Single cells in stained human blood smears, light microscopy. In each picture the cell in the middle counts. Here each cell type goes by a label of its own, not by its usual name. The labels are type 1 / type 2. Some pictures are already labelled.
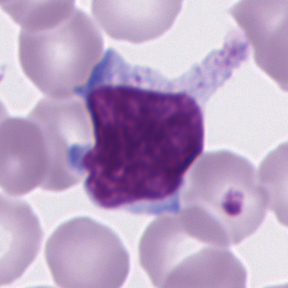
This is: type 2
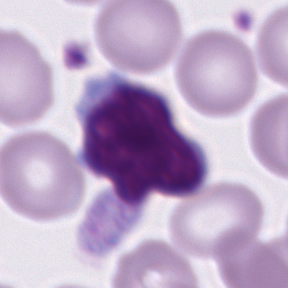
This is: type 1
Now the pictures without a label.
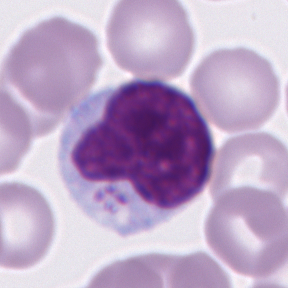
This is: type 2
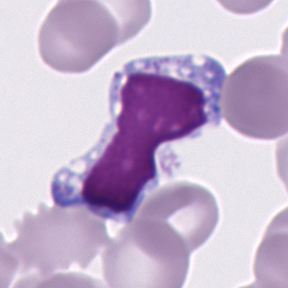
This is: type 1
